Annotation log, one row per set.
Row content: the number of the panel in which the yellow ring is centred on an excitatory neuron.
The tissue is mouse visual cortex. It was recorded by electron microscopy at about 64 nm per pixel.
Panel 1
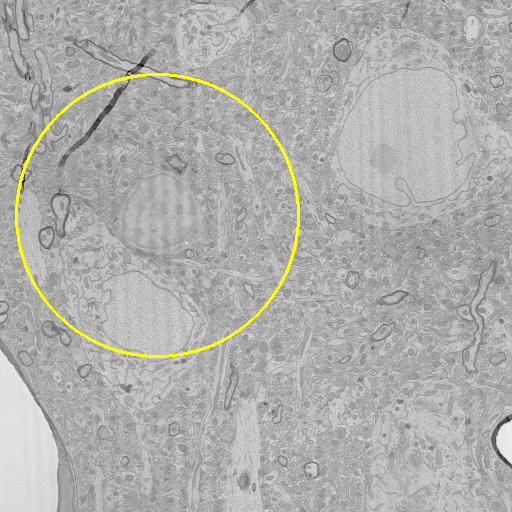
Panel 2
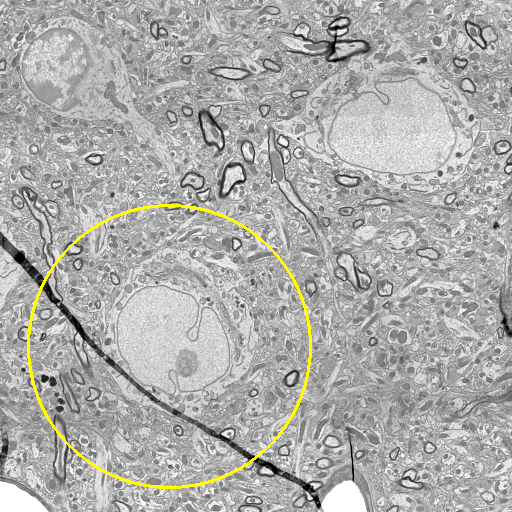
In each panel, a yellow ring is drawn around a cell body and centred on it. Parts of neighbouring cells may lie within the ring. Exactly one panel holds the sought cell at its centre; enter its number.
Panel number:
2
